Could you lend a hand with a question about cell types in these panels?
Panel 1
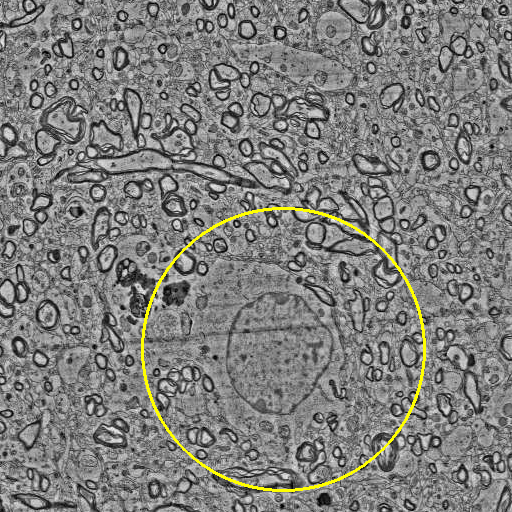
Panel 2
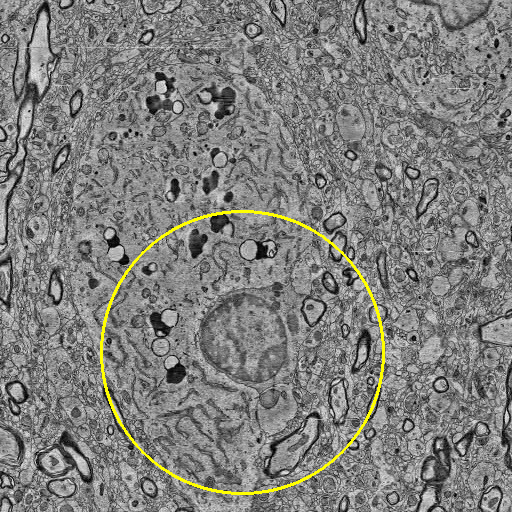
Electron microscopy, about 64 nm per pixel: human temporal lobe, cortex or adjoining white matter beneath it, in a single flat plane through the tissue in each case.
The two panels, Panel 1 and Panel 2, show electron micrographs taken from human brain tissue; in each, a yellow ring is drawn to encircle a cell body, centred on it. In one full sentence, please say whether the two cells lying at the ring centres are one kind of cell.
No, the cells at the ring centres in the two panels are two kinds of cell.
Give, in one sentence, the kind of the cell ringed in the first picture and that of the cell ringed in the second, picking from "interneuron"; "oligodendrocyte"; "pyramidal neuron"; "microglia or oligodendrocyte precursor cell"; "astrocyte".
For the first picture it is an astrocyte; for the second, an oligodendrocyte.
